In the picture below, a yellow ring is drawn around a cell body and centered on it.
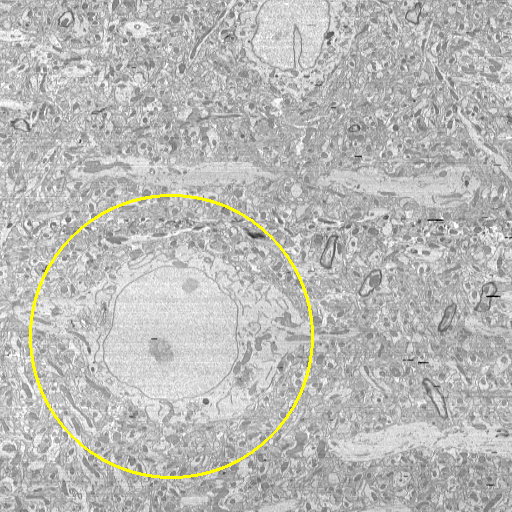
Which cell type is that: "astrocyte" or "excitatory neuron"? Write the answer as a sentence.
The cell centered in the ring is an excitatory neuron.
